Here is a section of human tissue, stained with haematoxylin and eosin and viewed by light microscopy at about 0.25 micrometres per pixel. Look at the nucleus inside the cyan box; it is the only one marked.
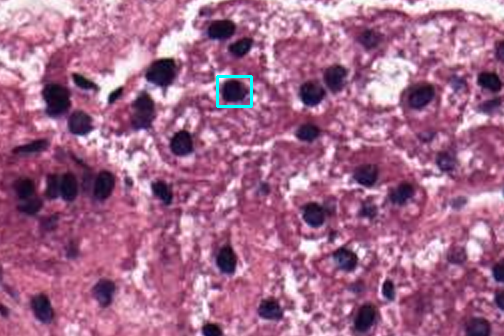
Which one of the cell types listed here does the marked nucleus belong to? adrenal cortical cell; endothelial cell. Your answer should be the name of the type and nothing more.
adrenal cortical cell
